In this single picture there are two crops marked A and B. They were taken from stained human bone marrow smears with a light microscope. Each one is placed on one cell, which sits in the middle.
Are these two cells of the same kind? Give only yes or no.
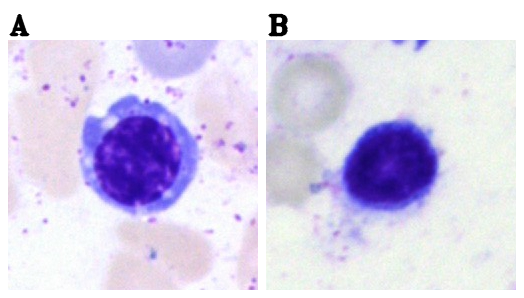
no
